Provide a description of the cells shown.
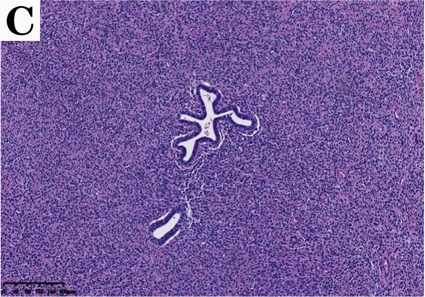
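This shows a tumour made of glands set in a dense stroma. The stroma is far more cellular than the sparse glands it surrounds.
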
